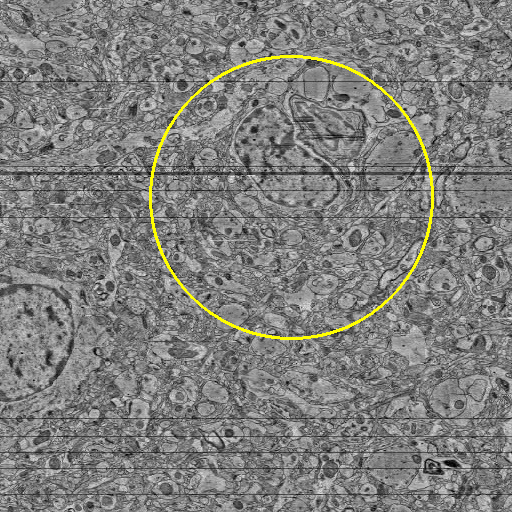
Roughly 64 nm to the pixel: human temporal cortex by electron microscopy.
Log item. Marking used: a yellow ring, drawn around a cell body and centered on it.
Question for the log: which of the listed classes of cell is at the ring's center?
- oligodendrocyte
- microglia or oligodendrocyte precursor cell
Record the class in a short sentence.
At the center of the ring lies a microglial cell or oligodendrocyte precursor cell.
